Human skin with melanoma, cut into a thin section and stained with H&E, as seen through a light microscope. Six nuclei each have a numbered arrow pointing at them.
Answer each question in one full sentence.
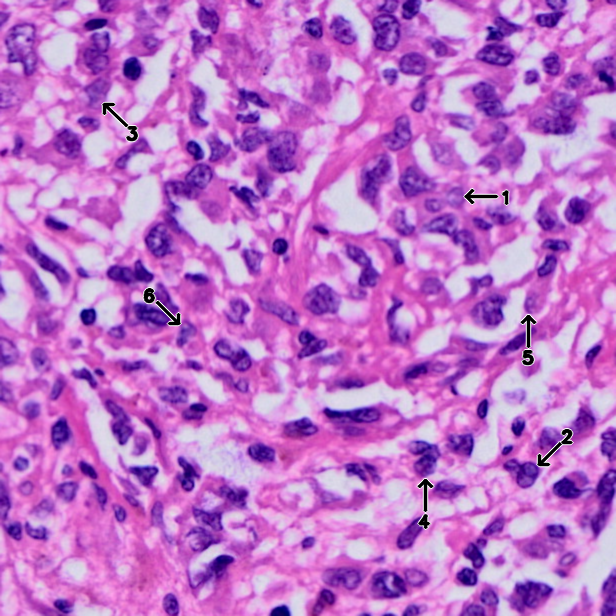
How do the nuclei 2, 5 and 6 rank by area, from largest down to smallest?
Largest first, the order by area is 2, 6, 5.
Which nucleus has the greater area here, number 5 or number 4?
It is nucleus 4, which covers about 1.5 times the area of nucleus 5.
